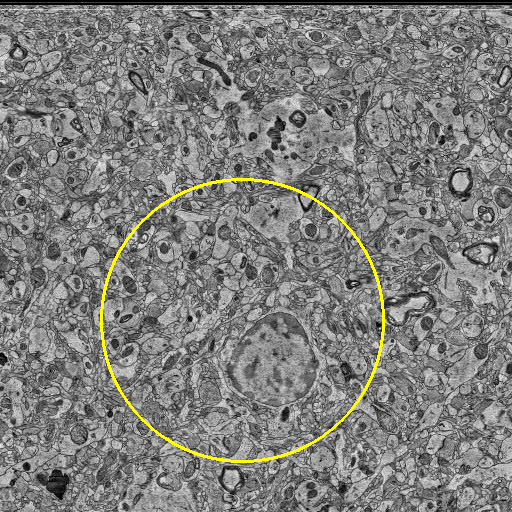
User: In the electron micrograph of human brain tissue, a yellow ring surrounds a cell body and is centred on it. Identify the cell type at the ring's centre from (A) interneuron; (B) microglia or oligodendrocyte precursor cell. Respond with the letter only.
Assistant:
B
